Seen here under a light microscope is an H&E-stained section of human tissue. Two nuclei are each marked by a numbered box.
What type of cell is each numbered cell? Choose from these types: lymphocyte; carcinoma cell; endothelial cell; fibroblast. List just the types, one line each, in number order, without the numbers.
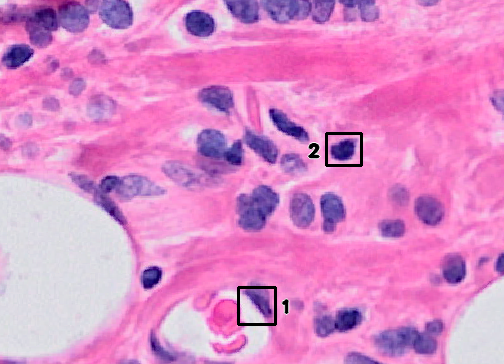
endothelial cell
lymphocyte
